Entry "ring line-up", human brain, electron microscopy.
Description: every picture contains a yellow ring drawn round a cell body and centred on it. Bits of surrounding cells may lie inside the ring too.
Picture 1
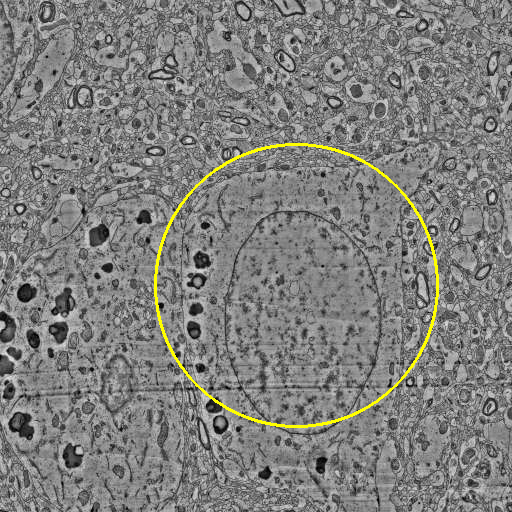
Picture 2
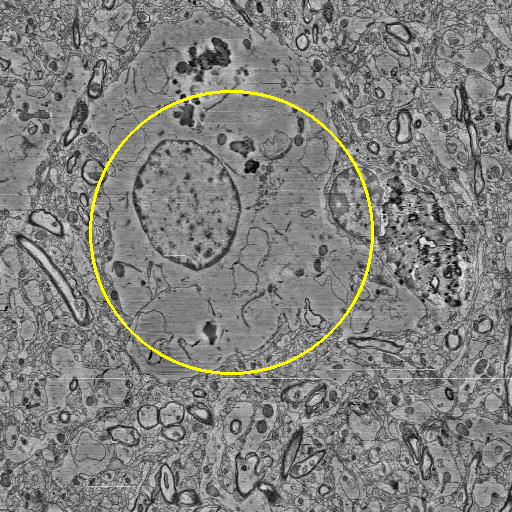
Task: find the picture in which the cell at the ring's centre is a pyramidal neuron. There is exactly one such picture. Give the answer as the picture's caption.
Picture 1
